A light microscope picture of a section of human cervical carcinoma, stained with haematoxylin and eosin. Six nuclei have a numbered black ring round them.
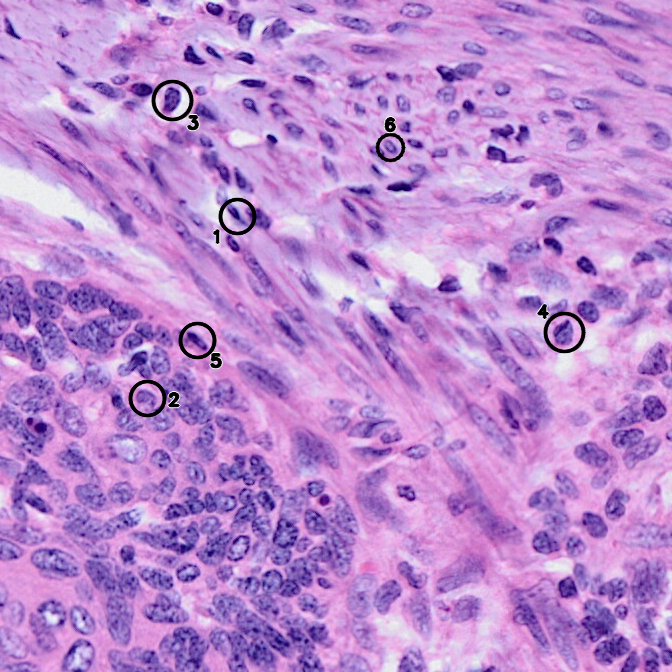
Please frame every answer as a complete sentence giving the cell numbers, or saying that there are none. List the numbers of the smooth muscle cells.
Only cell 6 should be marked as a smooth muscle cell.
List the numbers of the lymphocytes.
To be specific, the cells numbered 1, 3, 4 and 5 are lymphocytes.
